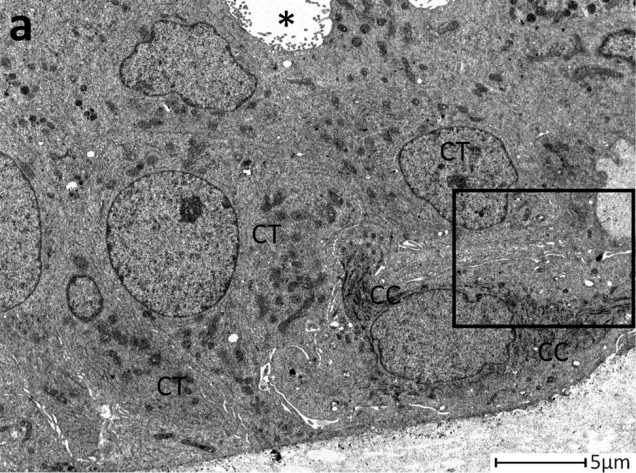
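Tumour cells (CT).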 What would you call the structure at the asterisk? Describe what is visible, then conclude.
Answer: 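Intercellular lumen. The asterisk sits in a pale, electron-lucent space at the top edge.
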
